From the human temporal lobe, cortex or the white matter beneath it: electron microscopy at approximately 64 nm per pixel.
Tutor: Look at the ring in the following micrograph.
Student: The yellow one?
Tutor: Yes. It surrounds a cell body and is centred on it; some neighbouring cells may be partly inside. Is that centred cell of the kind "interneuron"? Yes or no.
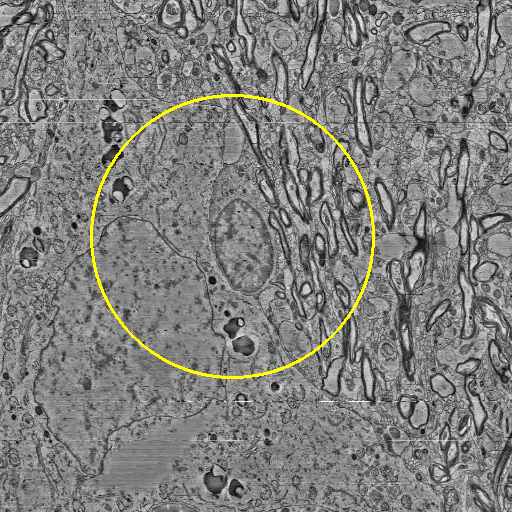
no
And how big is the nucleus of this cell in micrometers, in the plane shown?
About 6 by 4 micrometers; the nucleus is clearly longer than it is wide in this plane.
